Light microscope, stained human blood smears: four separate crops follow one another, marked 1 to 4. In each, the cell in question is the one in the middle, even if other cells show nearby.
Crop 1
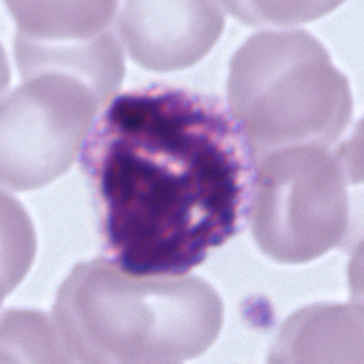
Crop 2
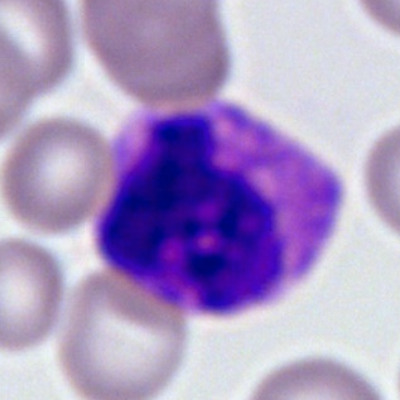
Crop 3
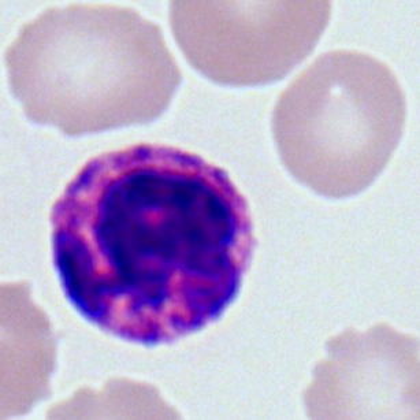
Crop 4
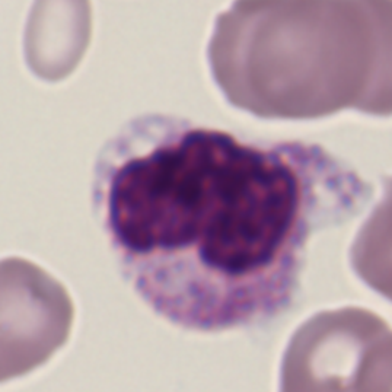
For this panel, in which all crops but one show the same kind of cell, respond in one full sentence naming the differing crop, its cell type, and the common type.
Crop 4 is the only one that is a neutrophil; all the others show basophils.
